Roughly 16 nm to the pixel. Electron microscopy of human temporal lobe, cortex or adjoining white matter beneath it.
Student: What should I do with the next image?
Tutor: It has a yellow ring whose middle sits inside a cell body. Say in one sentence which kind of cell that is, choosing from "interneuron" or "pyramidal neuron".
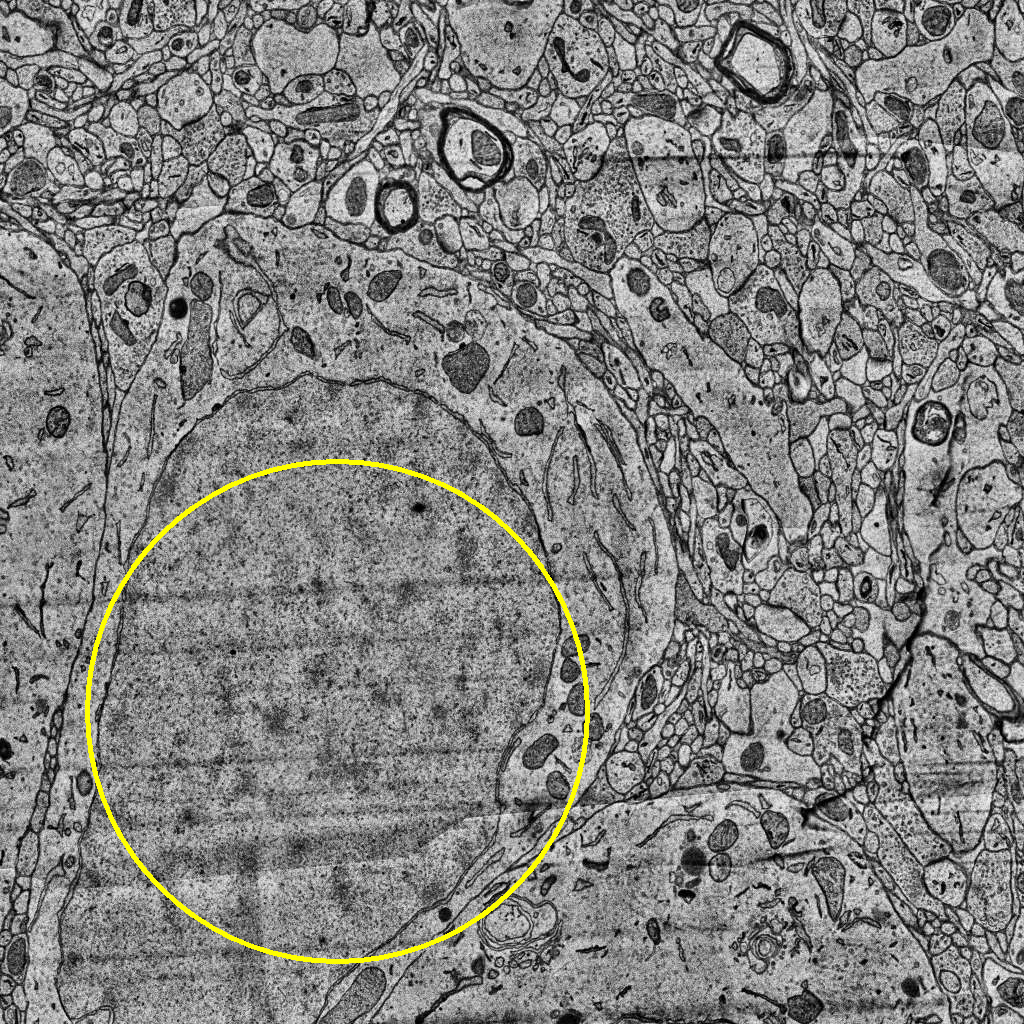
The ring's centre is occupied by an interneuron.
